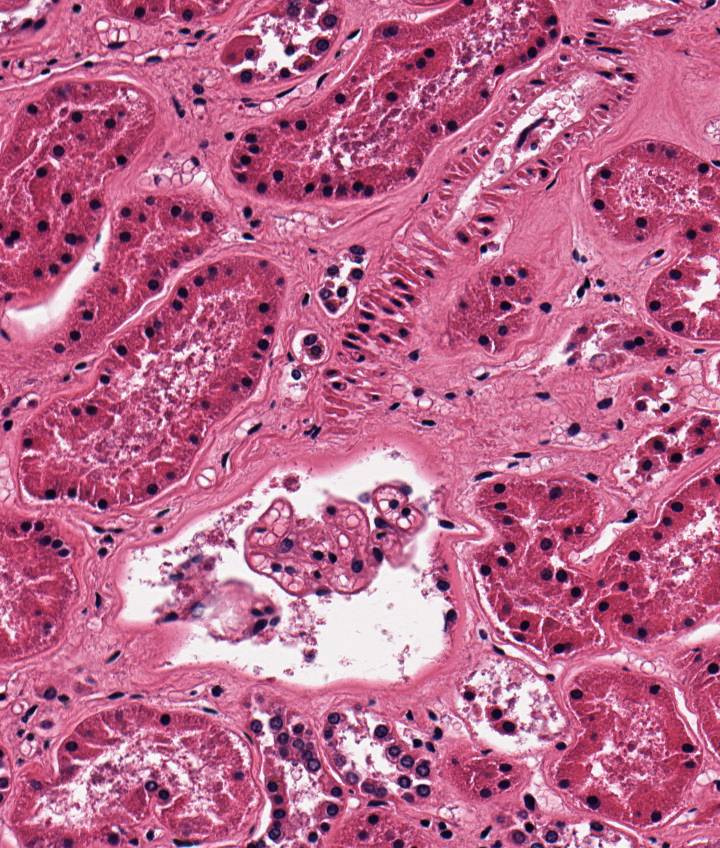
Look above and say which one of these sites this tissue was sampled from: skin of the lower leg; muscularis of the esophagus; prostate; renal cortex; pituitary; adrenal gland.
renal cortex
